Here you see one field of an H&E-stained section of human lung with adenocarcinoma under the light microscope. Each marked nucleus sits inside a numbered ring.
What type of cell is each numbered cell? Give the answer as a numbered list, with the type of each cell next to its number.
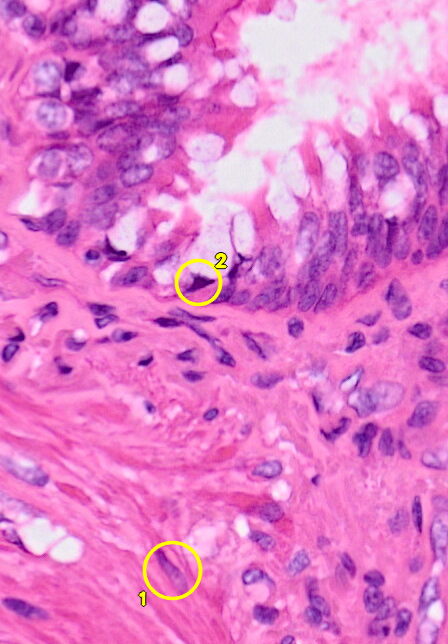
1. smooth muscle cell or pericyte
2. ciliated epithelial cell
